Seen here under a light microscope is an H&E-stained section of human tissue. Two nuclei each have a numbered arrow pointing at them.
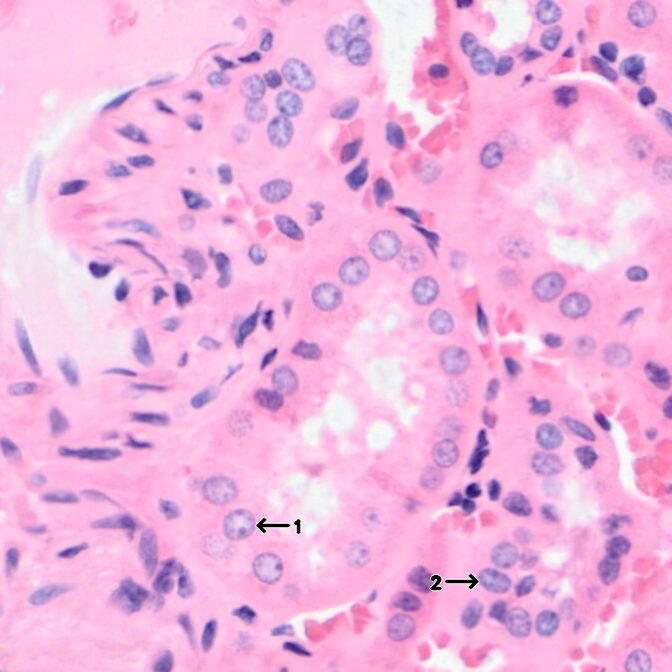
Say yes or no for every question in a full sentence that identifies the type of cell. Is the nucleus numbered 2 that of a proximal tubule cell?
No, what is marked as number 2 is a collecting duct cell rather than a proximal tubule cell.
